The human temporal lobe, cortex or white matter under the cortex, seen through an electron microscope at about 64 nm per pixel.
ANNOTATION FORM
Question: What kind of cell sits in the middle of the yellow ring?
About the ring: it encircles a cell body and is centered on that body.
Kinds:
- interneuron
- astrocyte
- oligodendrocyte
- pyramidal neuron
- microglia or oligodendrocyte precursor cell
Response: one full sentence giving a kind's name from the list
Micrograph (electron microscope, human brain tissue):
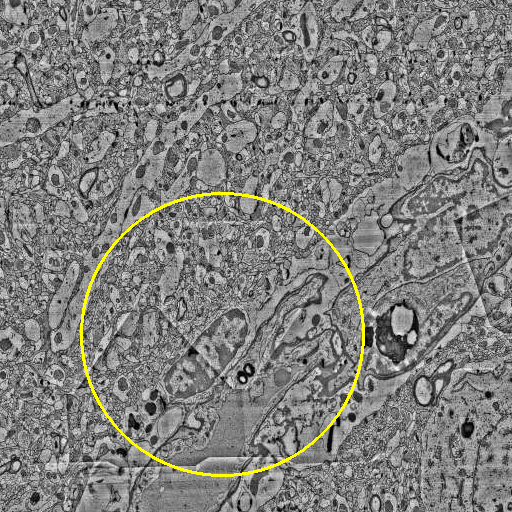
The kind of cell found at the center of the yellow ring in the micrograph is a microglial cell or oligodendrocyte precursor cell.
